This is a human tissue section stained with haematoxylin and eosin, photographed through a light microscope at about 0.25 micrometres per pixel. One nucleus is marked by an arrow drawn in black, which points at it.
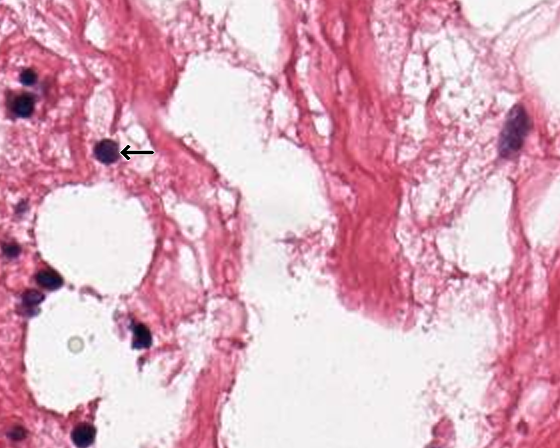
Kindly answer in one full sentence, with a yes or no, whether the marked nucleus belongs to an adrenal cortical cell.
No, the marked nucleus is the nucleus of a supporting cell rather than of an adrenal cortical cell.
